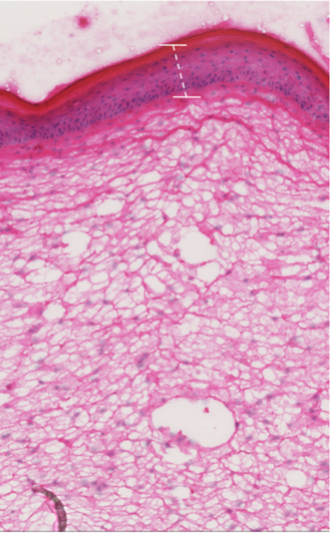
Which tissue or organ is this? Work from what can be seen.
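Skin. A layered, purple-nucleated surface epithelium topped by a dense bright pink layer. A thick, loose pale pink connective tissue lies beneath the epithelium.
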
